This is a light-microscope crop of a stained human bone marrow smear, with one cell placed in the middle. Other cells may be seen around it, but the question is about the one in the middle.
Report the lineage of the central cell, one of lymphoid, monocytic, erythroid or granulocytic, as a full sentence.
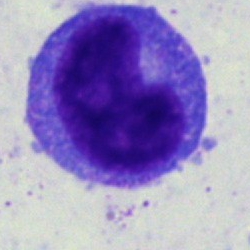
The centered cell is a member of the monocytic lineage.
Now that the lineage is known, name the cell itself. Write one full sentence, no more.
The cell in the middle of the field of view is a monocyte.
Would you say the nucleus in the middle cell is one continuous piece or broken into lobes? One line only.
Between us, the nucleus here is just one compact mass, round, oval or kidney-shaped.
